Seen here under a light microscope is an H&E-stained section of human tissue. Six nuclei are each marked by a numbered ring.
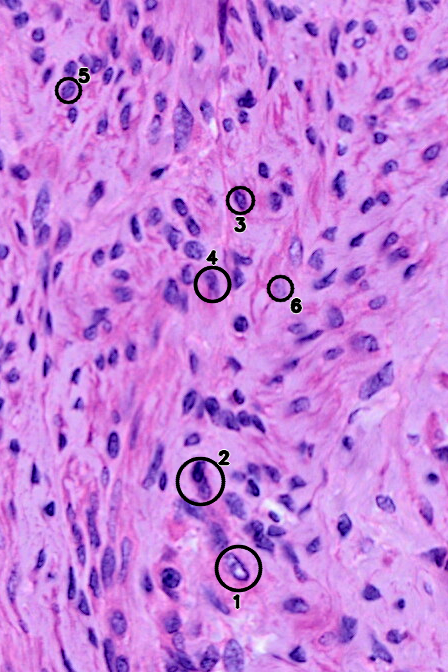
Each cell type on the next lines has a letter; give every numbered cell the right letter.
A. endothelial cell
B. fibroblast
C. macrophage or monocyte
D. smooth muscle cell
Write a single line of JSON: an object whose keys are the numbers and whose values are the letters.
{"1": "A", "2": "A", "3": "D", "4": "D", "5": "D", "6": "D"}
